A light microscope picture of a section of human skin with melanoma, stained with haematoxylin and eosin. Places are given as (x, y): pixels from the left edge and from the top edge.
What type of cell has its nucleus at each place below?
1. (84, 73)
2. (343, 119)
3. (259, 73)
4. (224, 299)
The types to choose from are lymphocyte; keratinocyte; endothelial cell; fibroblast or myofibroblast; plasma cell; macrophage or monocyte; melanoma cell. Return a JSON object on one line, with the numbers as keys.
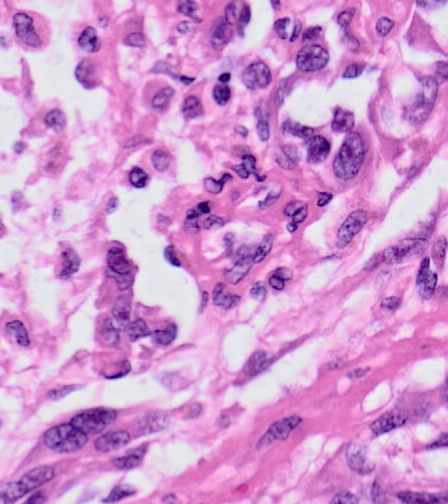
{"1": "melanoma cell", "2": "melanoma cell", "3": "melanoma cell", "4": "macrophage or monocyte"}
